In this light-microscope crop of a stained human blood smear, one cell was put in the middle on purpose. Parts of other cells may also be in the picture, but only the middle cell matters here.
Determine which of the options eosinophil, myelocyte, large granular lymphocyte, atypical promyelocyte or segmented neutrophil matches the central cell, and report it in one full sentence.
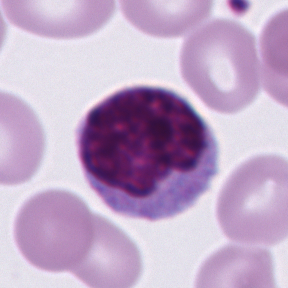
Centrally within this crop lies a large granular lymphocyte.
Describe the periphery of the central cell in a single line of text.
Smooth edges only, with no spikes, blebs, or other projections.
